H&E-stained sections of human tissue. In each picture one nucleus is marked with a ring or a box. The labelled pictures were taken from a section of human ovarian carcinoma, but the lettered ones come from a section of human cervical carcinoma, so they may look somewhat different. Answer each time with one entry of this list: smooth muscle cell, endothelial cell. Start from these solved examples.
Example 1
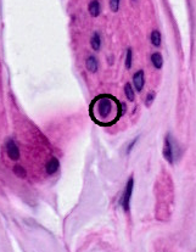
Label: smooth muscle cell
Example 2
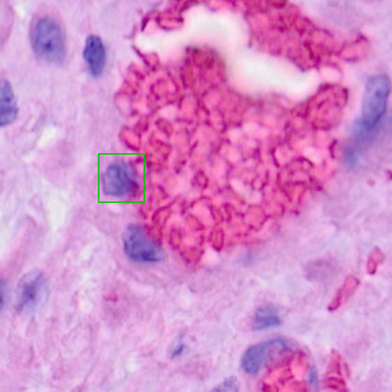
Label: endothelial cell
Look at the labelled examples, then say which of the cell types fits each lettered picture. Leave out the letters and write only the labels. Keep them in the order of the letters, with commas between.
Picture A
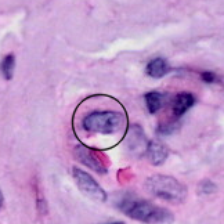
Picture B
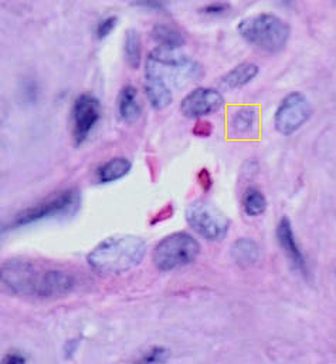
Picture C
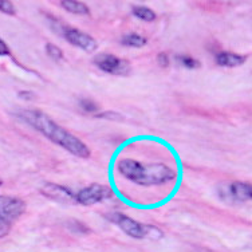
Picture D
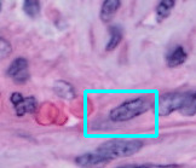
endothelial cell, endothelial cell, smooth muscle cell, endothelial cell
